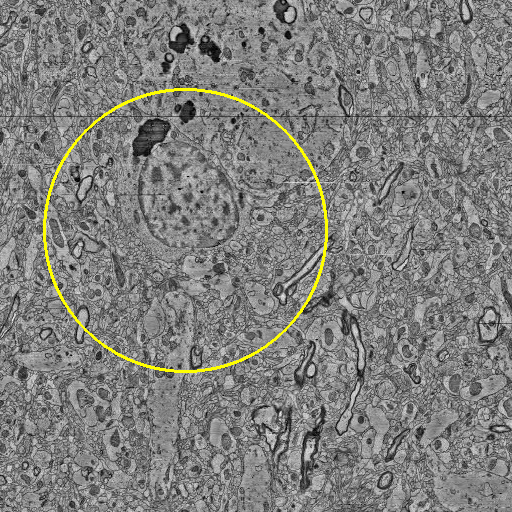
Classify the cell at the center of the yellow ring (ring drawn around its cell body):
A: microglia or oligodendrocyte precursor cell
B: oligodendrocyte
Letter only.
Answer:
B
